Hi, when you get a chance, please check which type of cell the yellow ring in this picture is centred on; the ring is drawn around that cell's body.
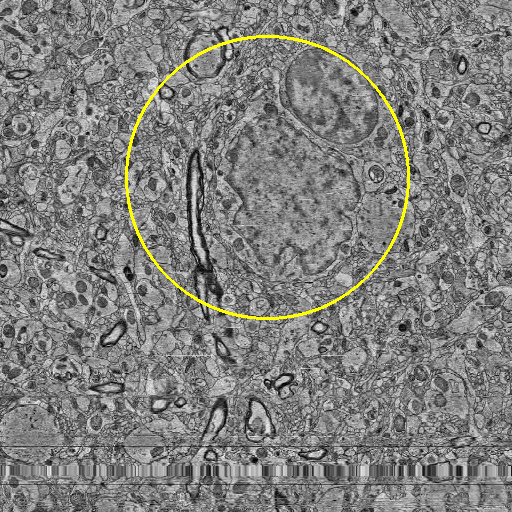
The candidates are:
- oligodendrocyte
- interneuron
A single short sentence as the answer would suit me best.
The ring is drawn around the body of an interneuron.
